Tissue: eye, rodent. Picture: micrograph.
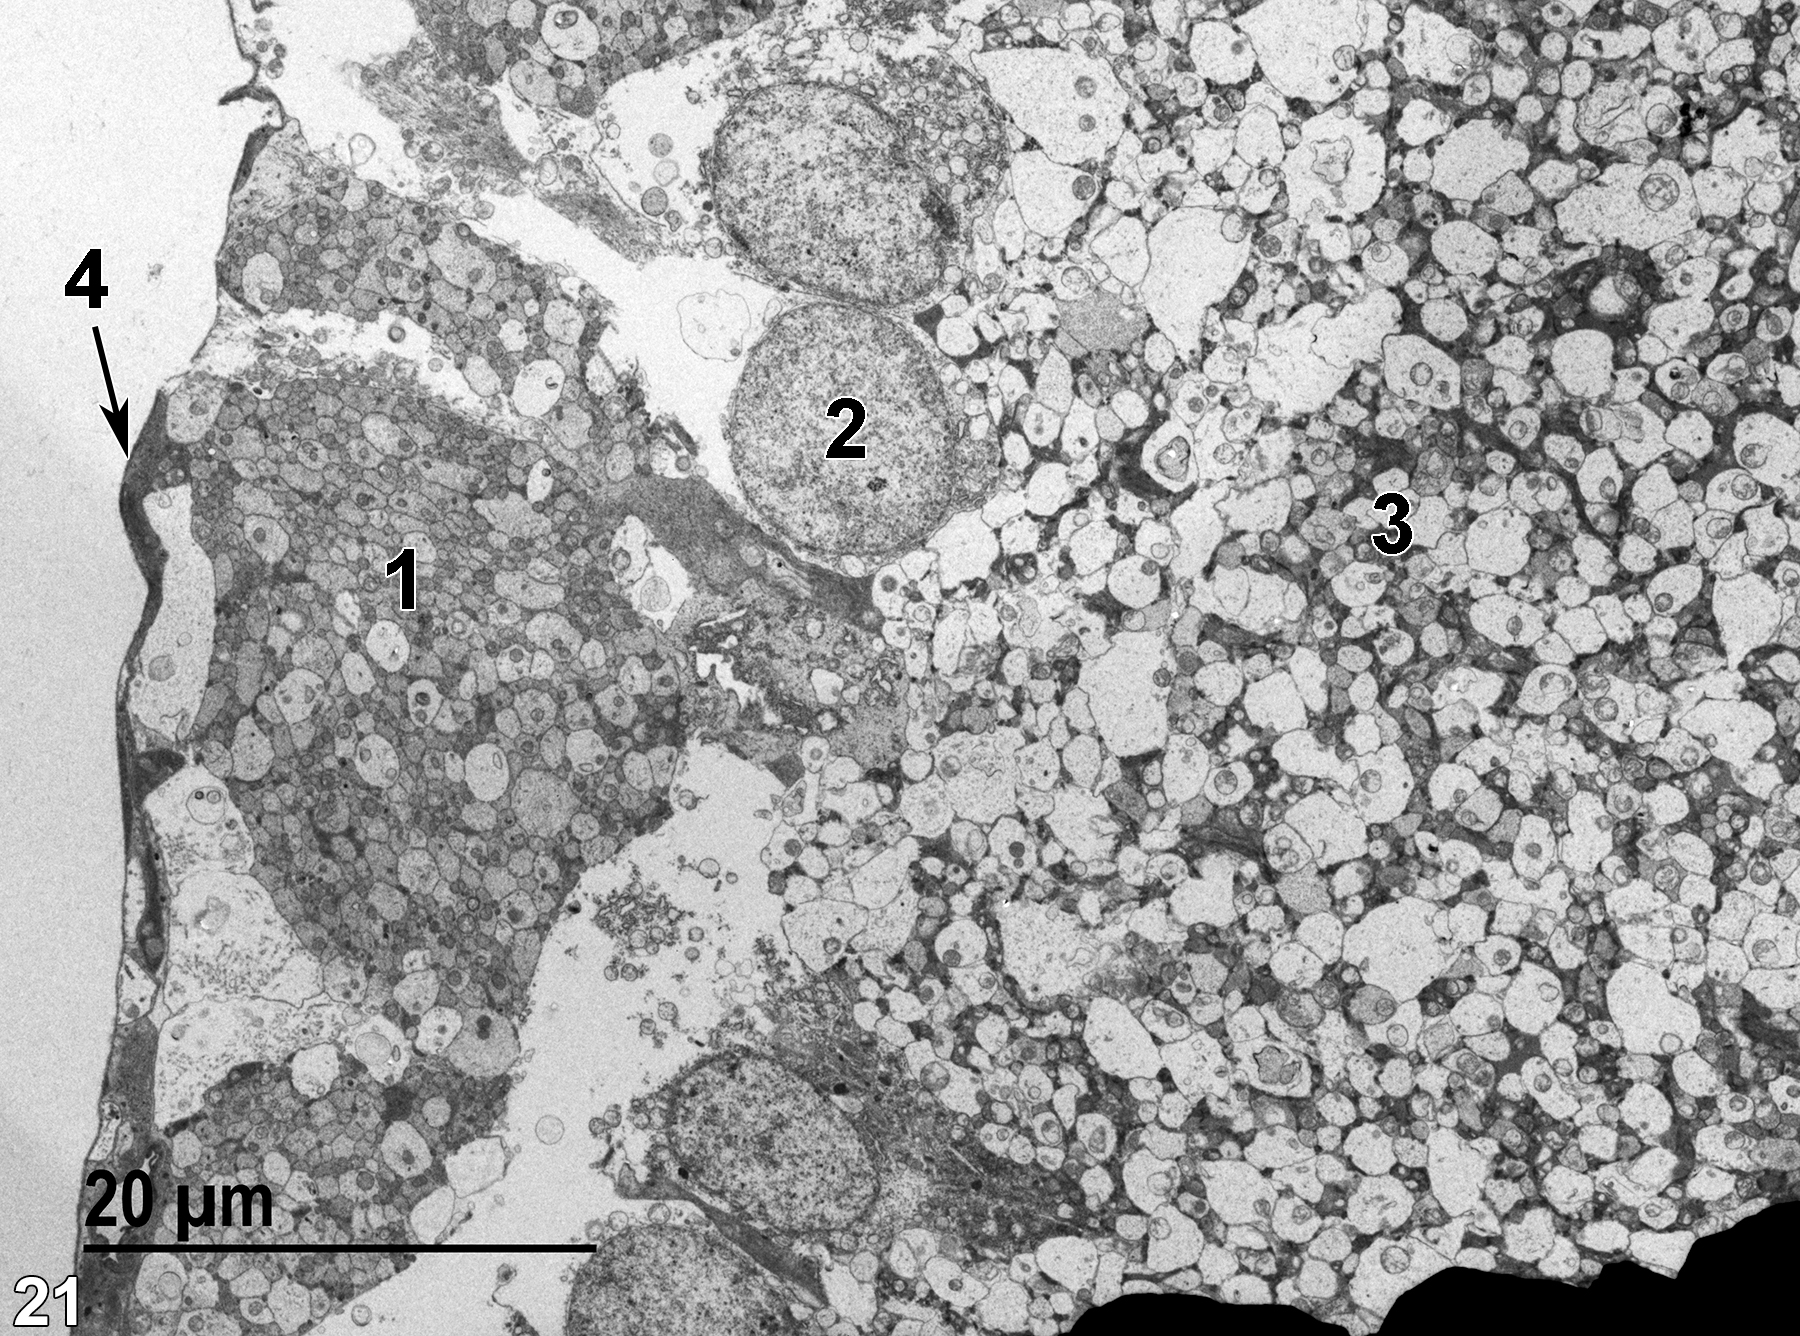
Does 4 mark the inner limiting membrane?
Yes.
